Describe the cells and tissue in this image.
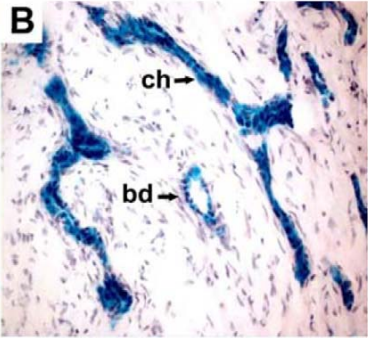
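This liver section shows branching cords of small ductular epithelial cells, the cholangioles, and a small interlobular bile duct lying in loose, pale connective tissue with scattered spindle-shaped nuclei. The cholangiole cells are stained intensely turquoise blue and form anastomosing strands several cells thick. The bile duct appears as a small ring of cuboidal cells around a narrow lumen, also stained blue. The surrounding stromal cells are largely unstained apart from their nuclei.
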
